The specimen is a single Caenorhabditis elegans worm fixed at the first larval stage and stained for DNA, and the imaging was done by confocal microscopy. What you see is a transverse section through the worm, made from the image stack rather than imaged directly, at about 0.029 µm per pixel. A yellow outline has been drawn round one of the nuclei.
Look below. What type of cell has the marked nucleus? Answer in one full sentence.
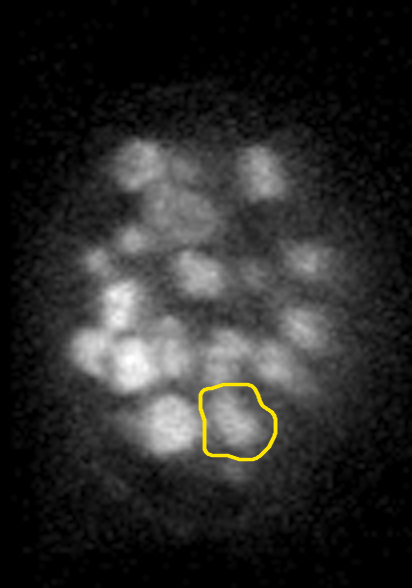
The marked cell is a neuron.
